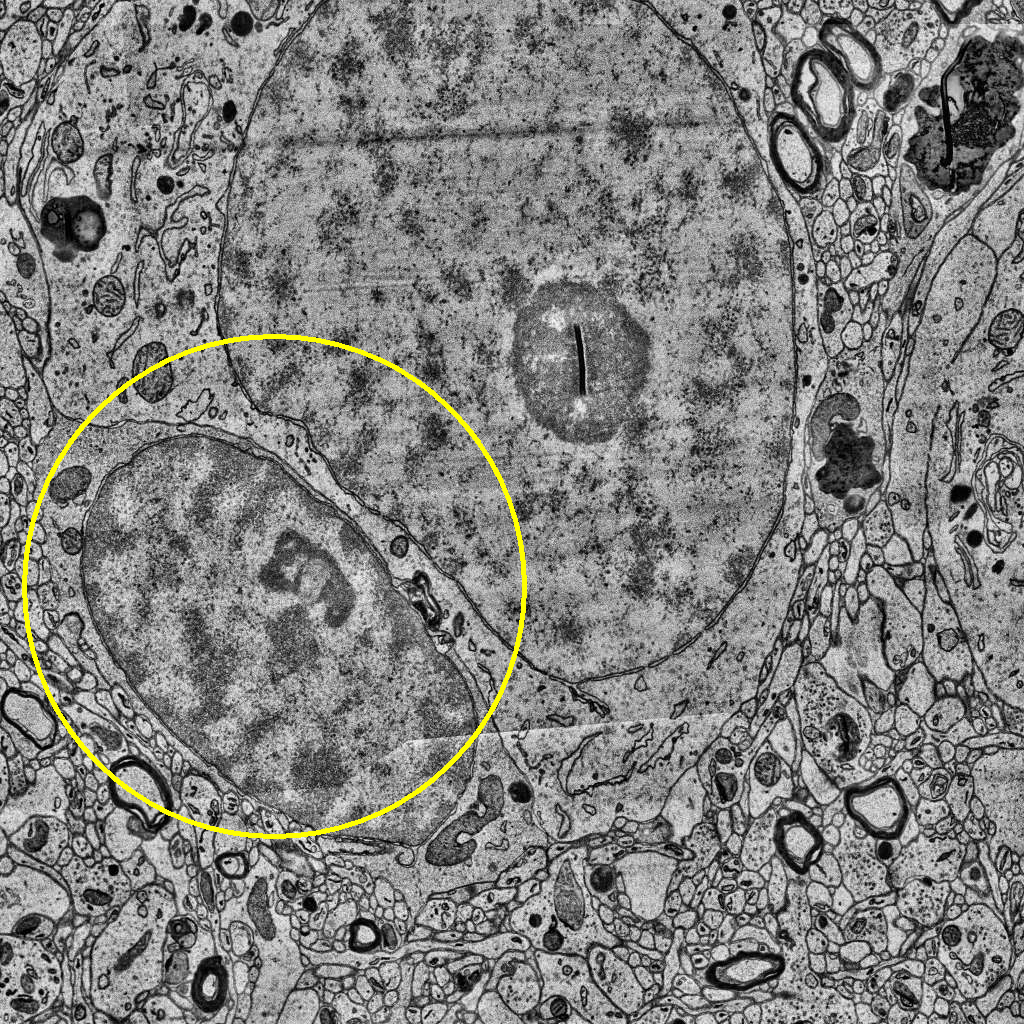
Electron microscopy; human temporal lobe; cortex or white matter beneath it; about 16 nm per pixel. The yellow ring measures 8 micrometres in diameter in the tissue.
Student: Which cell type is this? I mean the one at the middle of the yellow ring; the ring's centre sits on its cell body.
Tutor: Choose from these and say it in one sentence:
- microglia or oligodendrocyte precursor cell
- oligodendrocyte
The cell at the ring's centre is an oligodendrocyte.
